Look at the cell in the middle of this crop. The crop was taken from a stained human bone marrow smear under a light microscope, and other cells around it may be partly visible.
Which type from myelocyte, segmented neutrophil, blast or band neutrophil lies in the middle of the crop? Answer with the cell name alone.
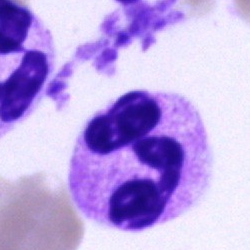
segmented neutrophil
